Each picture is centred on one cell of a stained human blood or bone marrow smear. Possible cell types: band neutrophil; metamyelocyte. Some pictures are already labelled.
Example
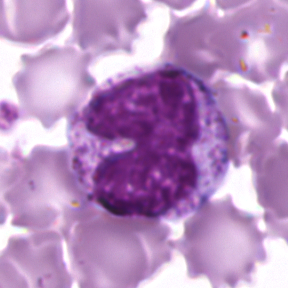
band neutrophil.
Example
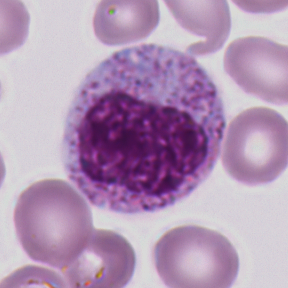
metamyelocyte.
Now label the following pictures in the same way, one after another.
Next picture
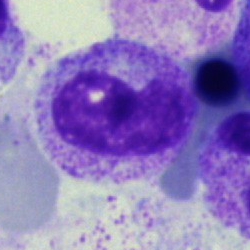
metamyelocyte.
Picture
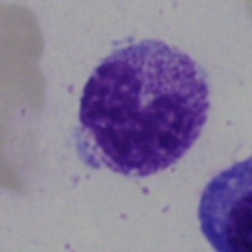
metamyelocyte.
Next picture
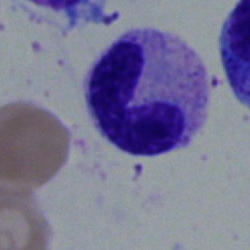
band neutrophil.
